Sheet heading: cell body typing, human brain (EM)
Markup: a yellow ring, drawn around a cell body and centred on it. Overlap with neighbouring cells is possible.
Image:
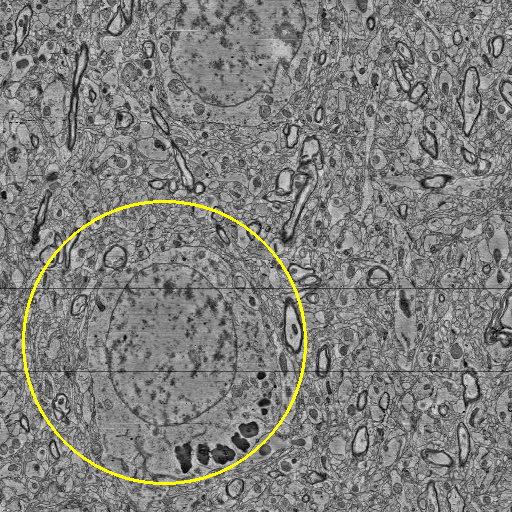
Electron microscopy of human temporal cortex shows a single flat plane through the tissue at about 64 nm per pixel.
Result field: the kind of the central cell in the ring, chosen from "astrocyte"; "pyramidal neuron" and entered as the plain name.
pyramidal neuron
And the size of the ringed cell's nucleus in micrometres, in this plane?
The ringed cell's nucleus is about 11 micrometres long and 9 micrometres wide in this plane.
